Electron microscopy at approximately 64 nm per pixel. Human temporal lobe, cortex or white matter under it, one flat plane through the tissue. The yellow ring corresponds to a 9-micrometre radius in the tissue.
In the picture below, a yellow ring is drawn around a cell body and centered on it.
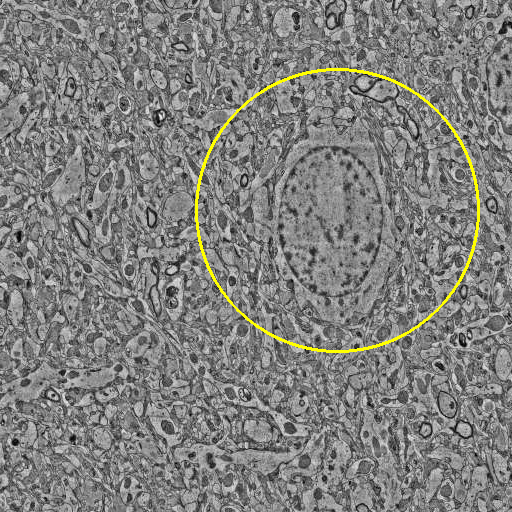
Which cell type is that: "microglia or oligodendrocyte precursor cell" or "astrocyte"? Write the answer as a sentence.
The cell centered in the ring is an astrocyte.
